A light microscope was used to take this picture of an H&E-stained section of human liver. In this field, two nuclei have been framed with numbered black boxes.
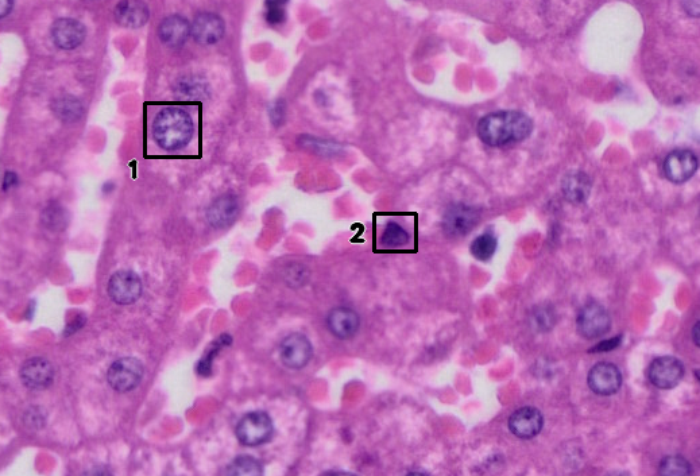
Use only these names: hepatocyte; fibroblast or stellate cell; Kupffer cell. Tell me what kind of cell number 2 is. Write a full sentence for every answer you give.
Cell 2 of the marked set is a fibroblast or stellate cell.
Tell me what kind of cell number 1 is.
The cell given label 1 is a hepatocyte.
